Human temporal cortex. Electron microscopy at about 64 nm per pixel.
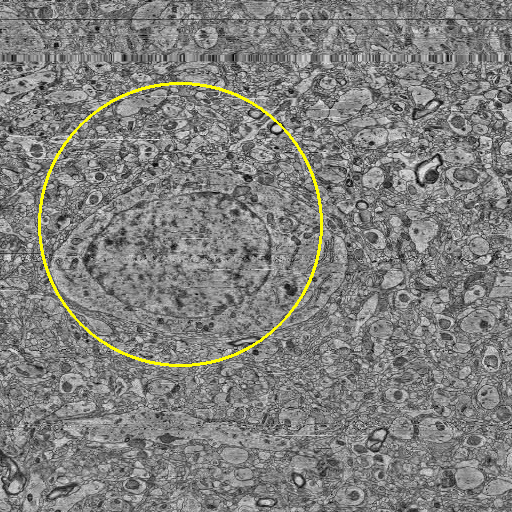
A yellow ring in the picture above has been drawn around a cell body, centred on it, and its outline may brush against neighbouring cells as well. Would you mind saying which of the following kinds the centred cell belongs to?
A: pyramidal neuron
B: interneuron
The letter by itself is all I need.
B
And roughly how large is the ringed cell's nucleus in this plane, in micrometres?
About 12 by 9 micrometres in this plane.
